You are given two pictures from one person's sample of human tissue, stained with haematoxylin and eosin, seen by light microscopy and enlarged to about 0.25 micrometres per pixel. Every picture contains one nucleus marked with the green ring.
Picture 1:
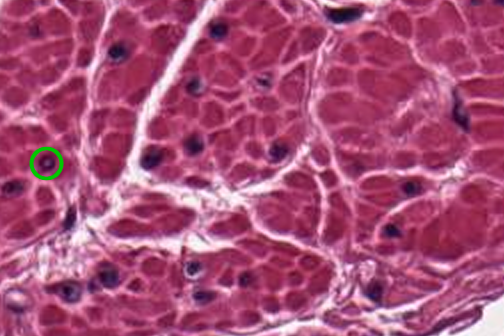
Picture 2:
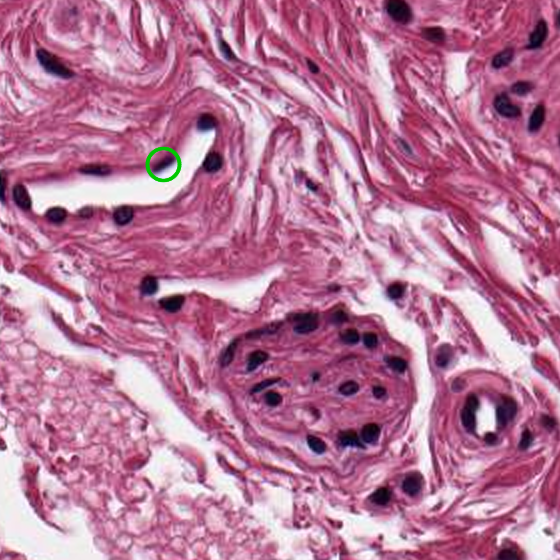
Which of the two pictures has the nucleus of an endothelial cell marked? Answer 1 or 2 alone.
2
